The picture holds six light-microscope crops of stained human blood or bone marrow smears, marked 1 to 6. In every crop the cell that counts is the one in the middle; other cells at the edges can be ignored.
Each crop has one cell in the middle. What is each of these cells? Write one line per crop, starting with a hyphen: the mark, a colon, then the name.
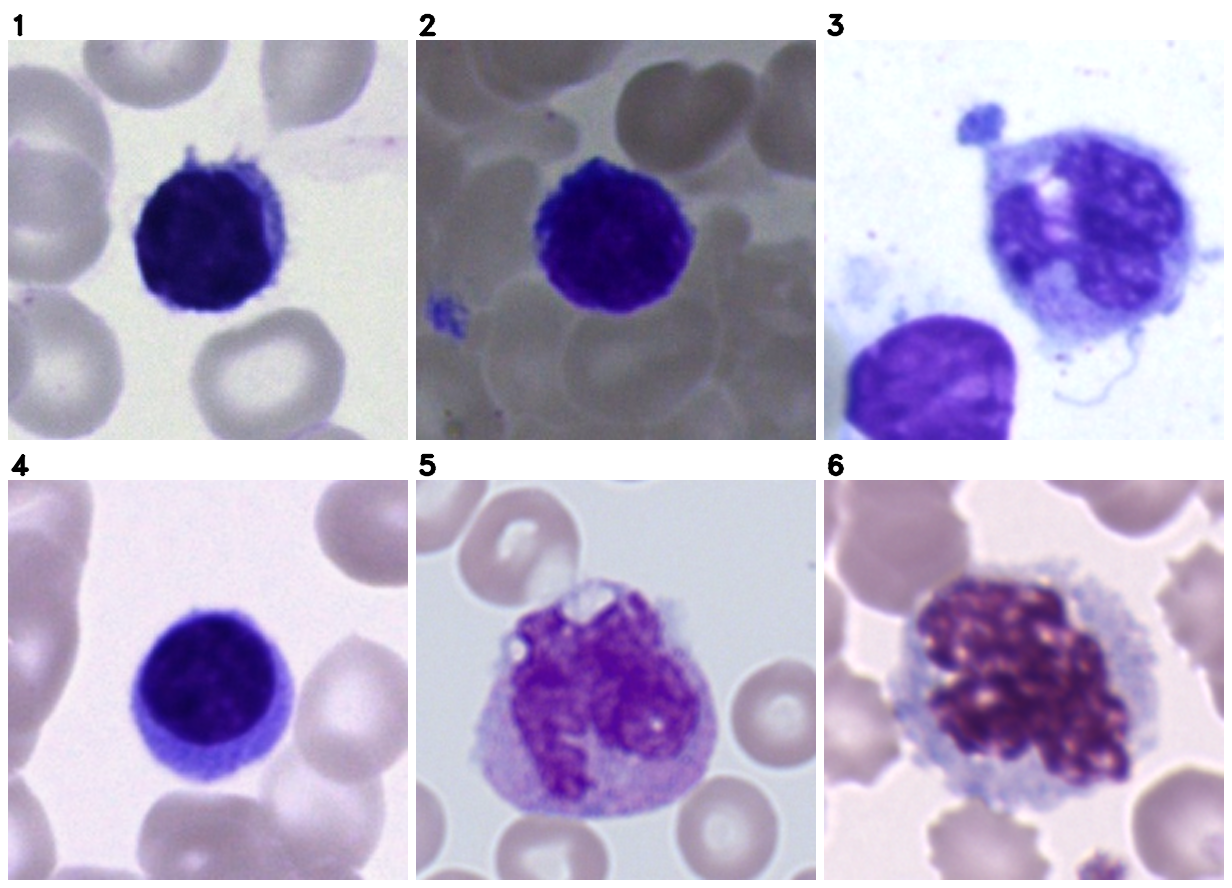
- 1: lymphocyte
- 2: lymphocyte
- 3: monocyte
- 4: lymphocyte
- 5: monocyte
- 6: monocyte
